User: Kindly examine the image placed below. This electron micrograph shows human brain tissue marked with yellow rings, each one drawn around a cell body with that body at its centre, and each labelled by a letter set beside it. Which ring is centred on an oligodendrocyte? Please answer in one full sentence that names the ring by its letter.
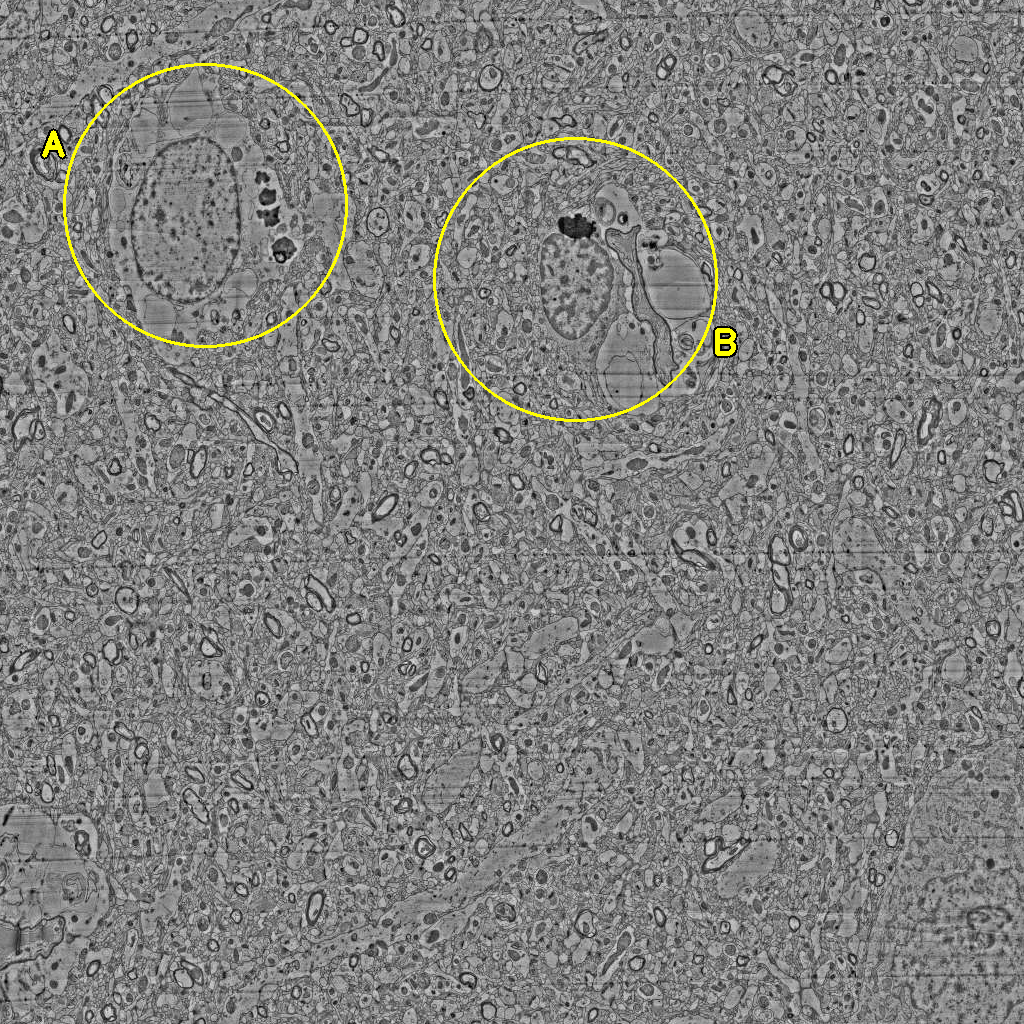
Ring B is the one drawn around the cell asked for.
